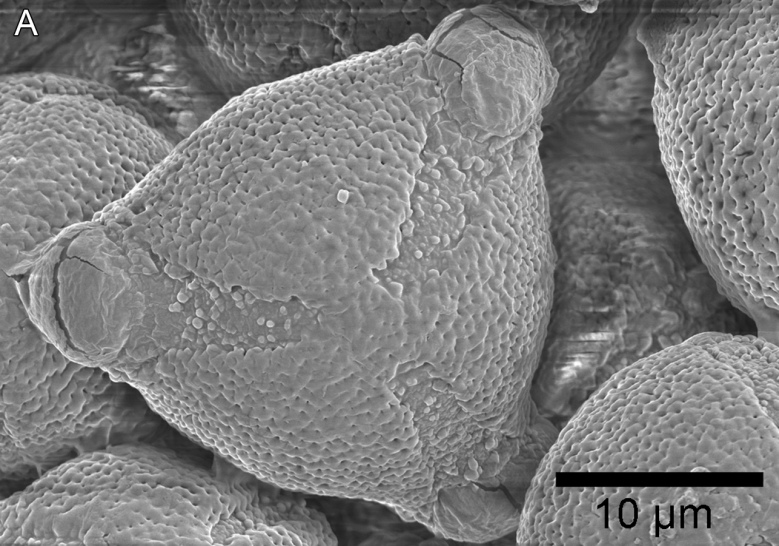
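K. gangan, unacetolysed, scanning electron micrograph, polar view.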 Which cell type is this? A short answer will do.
Triangular pollen.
